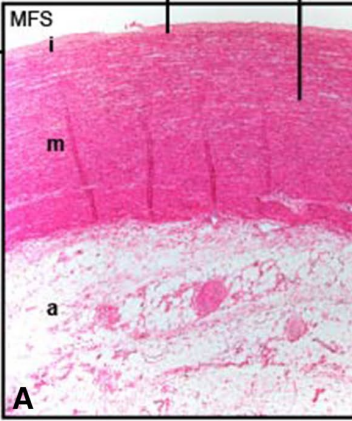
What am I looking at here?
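This low-power view shows the full thickness of an aortic wall, with its layers stacked from top to bottom. At the top lies a very thin inner layer along the luminal surface.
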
